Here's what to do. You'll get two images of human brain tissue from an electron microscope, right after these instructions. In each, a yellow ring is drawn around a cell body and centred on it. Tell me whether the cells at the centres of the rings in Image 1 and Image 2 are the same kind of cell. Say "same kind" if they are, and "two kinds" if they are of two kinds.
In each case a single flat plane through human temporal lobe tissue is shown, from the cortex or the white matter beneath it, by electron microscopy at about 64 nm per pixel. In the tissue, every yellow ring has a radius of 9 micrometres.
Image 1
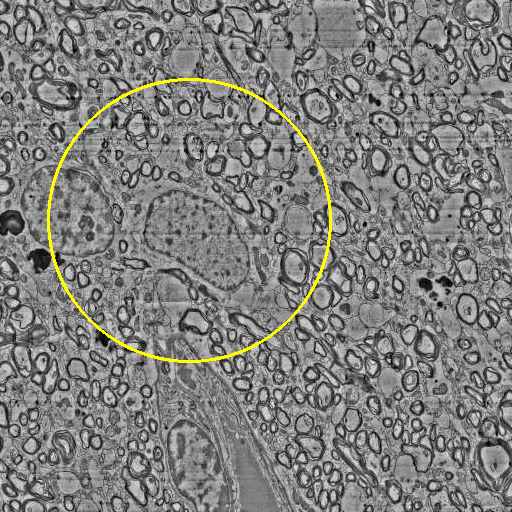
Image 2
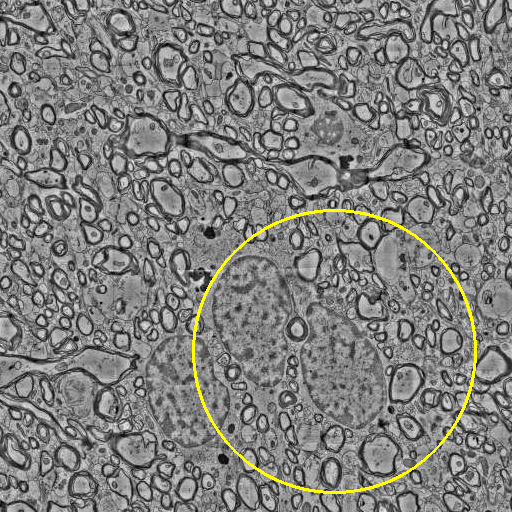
two kinds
